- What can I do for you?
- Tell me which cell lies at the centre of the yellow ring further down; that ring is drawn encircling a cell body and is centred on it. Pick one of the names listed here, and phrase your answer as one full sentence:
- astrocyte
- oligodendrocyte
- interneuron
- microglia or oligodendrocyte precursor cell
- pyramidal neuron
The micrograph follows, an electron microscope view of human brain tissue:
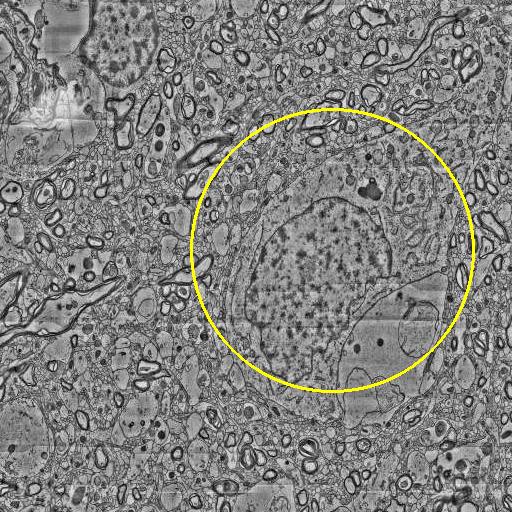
The cell whose body lies at the centre of the yellow ring is an interneuron.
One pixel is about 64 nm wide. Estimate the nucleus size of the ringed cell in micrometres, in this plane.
About 11 by 8 micrometres in this plane.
